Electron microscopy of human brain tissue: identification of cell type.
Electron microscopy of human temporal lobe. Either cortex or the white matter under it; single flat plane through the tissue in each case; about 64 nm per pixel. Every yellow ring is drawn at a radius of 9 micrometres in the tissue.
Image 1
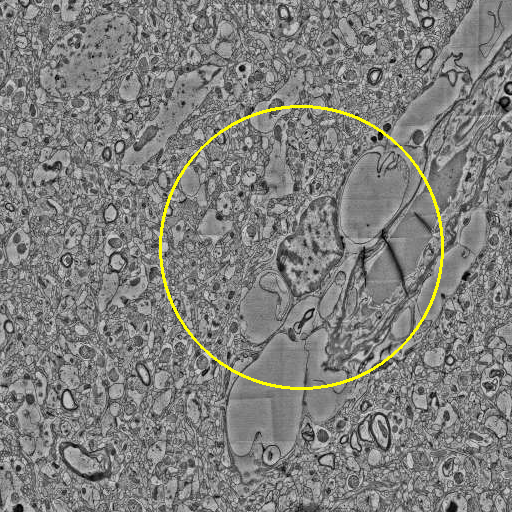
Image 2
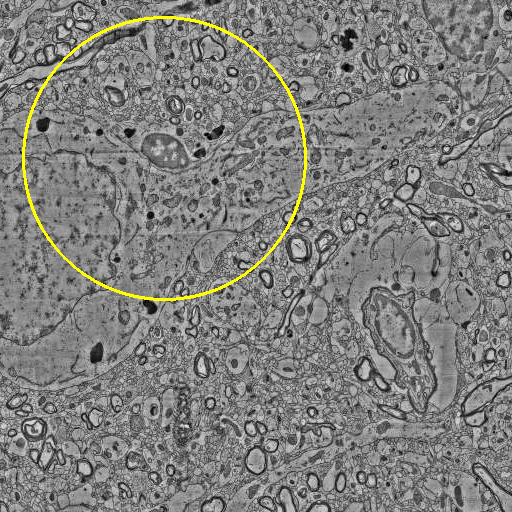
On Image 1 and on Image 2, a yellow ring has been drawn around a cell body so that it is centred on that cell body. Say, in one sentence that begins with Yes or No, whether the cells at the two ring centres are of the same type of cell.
Yes, both cells are the same type of cell.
